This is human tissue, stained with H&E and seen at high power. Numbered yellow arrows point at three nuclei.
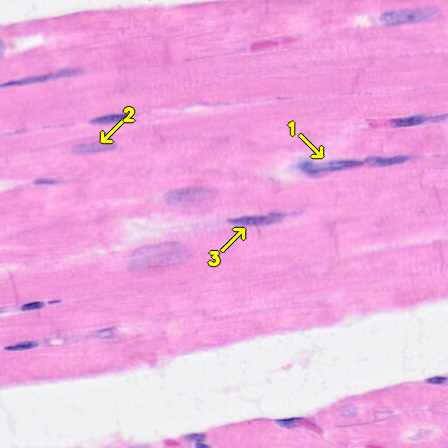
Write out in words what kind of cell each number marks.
Cells 1 and 3 are endothelial cells. Cell 2 is a cardiomyocyte.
